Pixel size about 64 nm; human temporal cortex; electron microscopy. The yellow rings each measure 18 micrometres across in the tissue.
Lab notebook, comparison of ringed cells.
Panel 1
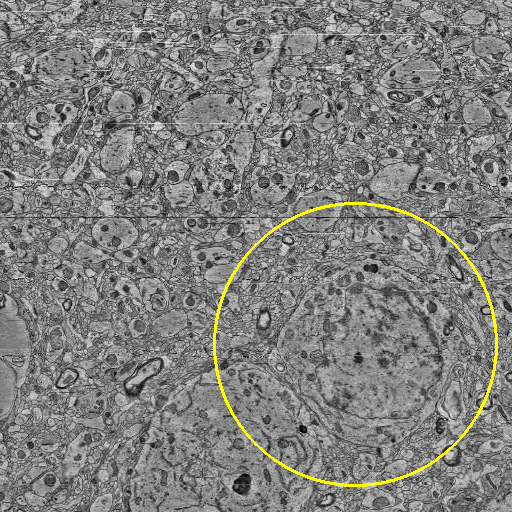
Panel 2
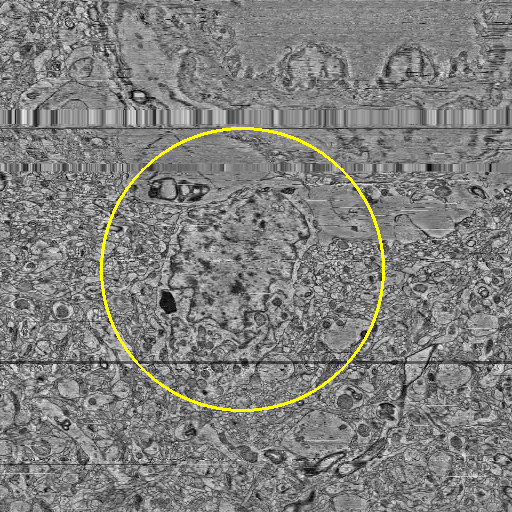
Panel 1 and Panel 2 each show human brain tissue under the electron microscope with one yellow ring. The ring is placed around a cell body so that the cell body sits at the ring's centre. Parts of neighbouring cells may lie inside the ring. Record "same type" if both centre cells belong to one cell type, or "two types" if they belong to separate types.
same type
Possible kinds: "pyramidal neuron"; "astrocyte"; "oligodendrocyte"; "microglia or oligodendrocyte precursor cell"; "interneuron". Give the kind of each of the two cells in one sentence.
In each picture the ringed cell is an interneuron.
